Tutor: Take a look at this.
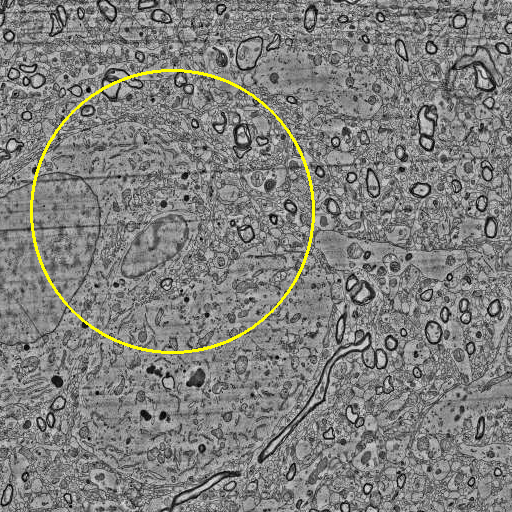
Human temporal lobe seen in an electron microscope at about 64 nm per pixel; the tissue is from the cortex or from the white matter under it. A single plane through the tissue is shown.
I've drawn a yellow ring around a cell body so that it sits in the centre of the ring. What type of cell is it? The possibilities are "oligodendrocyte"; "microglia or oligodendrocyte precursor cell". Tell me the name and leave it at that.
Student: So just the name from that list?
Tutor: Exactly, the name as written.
microglia or oligodendrocyte precursor cell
